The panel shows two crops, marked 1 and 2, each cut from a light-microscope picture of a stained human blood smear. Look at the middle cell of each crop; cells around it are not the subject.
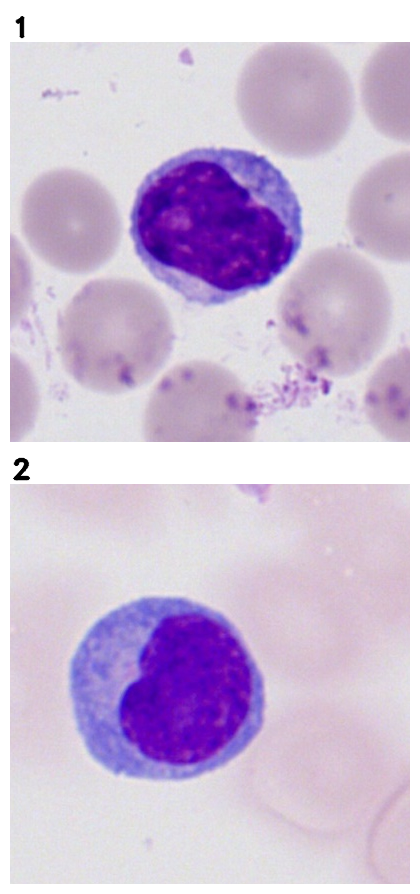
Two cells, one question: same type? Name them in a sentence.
Yes, the cells of interest in both crops are lymphocytes.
